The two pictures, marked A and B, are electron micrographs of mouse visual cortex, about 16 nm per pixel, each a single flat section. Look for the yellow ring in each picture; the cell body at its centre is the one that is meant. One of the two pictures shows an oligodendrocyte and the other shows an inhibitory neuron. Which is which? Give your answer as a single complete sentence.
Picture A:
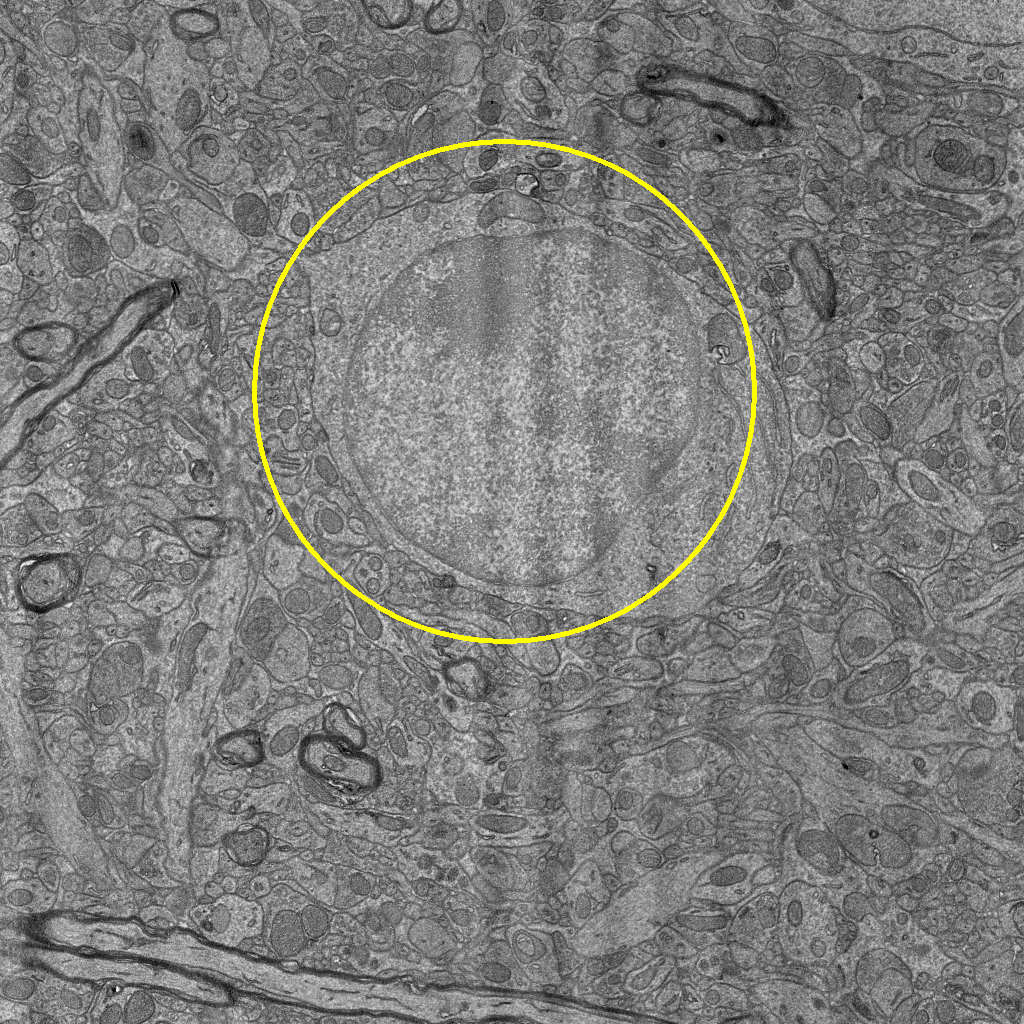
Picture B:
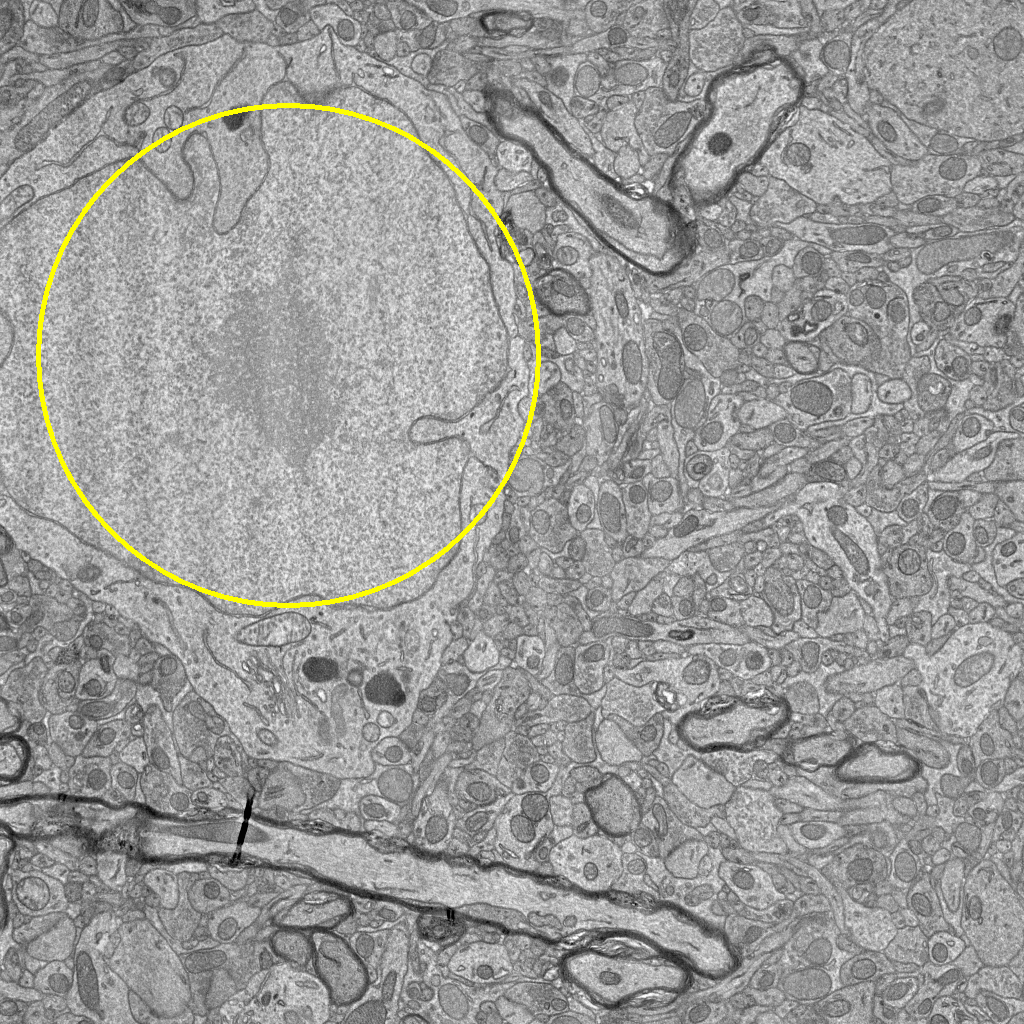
It is picture A that shows an oligodendrocyte, and picture B that shows an inhibitory neuron.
